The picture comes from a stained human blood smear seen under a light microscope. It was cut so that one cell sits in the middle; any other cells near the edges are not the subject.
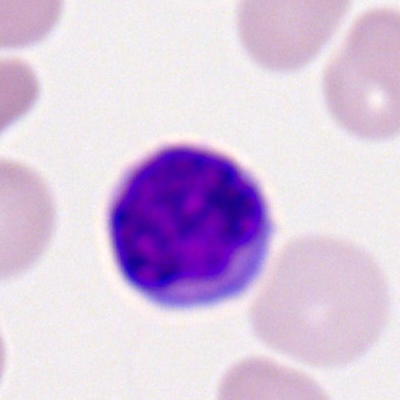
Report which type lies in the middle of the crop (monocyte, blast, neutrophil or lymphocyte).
lymphocyte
